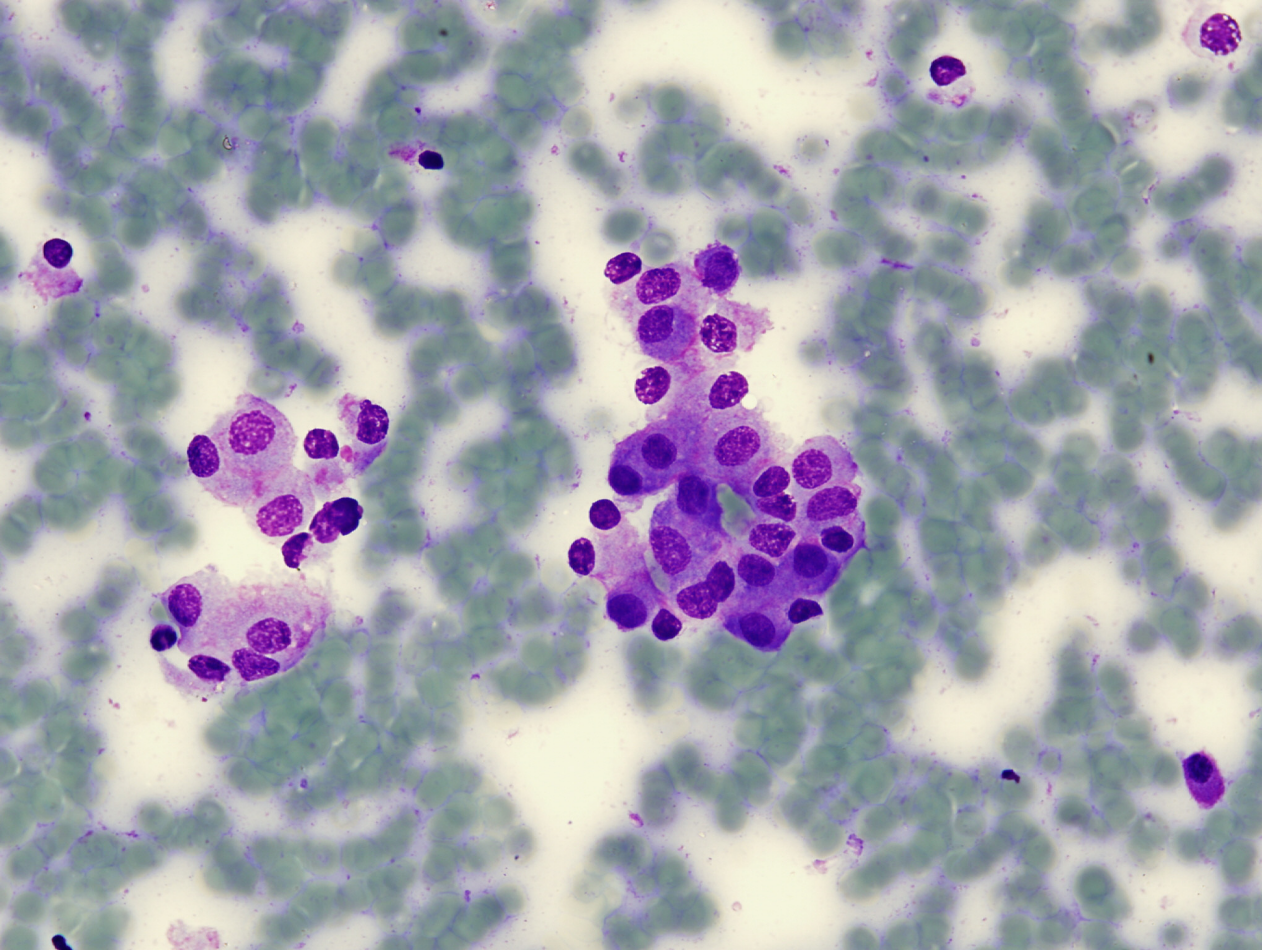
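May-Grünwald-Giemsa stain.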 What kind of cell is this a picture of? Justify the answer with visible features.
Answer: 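Plasmacytoid monotonous epithelial cells. Cells have round nuclei set off to one side of the cytoplasm. The cells are much alike in size and shape. Cells lie in small loose clusters and singly.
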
